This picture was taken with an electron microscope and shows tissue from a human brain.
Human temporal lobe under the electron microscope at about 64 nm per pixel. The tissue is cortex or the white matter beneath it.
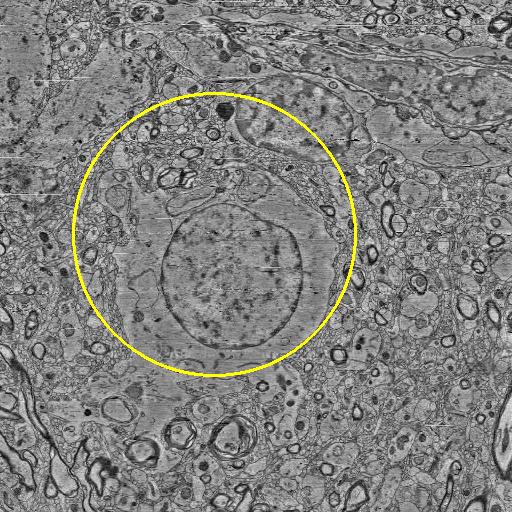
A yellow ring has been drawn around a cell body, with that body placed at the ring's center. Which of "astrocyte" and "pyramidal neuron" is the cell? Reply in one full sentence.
In this picture, an astrocyte is the cell at the center of the yellow ring.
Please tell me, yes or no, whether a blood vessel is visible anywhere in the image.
Yes, one shows.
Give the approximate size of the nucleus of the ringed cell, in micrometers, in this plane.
Approximately 9 micrometres across in this plane.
